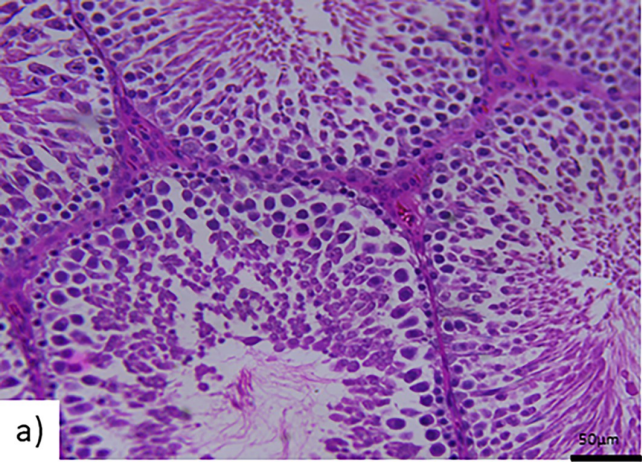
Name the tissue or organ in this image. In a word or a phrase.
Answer: Testicular tissue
